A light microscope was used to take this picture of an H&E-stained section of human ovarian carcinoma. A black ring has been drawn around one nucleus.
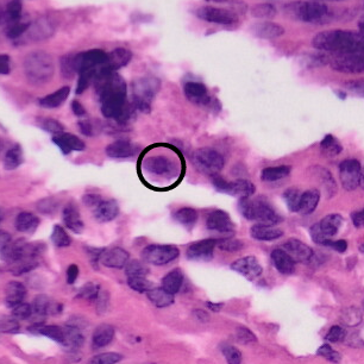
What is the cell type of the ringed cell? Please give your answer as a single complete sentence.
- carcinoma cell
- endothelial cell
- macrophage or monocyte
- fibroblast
As for its identity, the ringed cell is a carcinoma cell.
